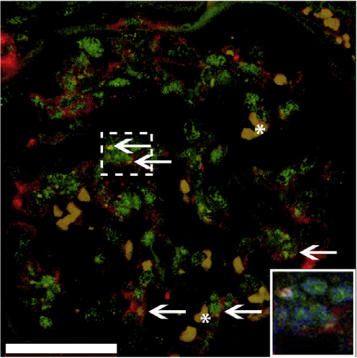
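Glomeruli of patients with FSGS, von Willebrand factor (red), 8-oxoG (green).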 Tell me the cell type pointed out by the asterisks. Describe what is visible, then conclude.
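Similar smooth bodies are scattered through the glomerular tuft. The answer: erythrocytes.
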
